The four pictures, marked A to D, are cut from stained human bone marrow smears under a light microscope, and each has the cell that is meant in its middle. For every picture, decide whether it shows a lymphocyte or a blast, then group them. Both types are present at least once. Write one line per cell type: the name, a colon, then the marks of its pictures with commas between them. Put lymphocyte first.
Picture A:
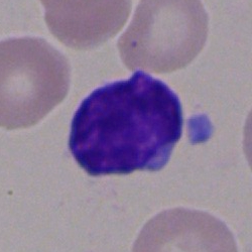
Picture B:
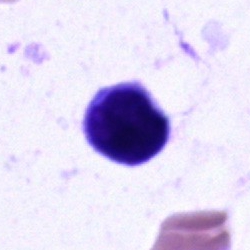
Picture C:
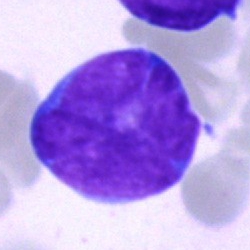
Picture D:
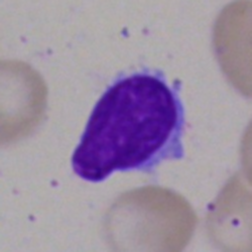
lymphocyte: B, D
blast: A, C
